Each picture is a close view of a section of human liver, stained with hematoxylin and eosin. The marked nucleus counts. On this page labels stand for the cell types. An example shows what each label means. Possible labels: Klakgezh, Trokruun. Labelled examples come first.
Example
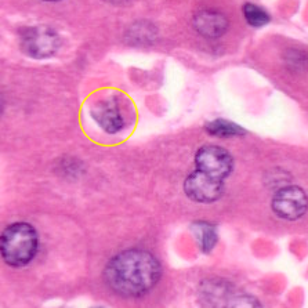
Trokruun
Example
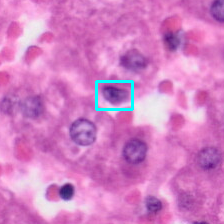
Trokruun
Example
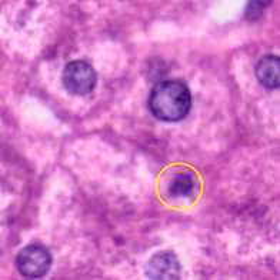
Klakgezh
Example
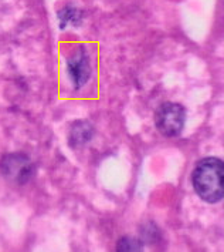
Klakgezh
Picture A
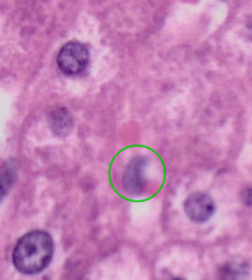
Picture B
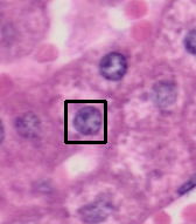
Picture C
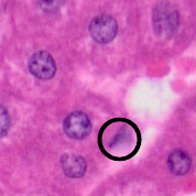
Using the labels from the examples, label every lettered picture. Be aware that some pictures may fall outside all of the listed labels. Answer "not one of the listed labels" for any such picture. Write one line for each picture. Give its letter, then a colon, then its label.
A: Klakgezh
B: not one of the listed labels
C: Klakgezh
